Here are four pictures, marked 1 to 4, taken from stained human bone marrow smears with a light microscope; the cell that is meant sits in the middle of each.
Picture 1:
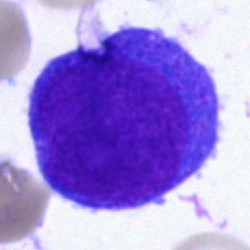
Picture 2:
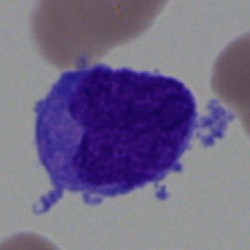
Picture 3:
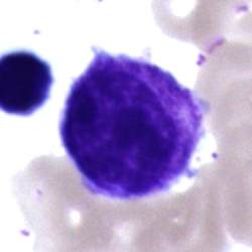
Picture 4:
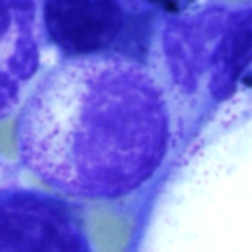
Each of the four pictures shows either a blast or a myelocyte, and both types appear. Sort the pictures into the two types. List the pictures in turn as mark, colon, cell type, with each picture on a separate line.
1: blast
2: blast
3: myelocyte
4: myelocyte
